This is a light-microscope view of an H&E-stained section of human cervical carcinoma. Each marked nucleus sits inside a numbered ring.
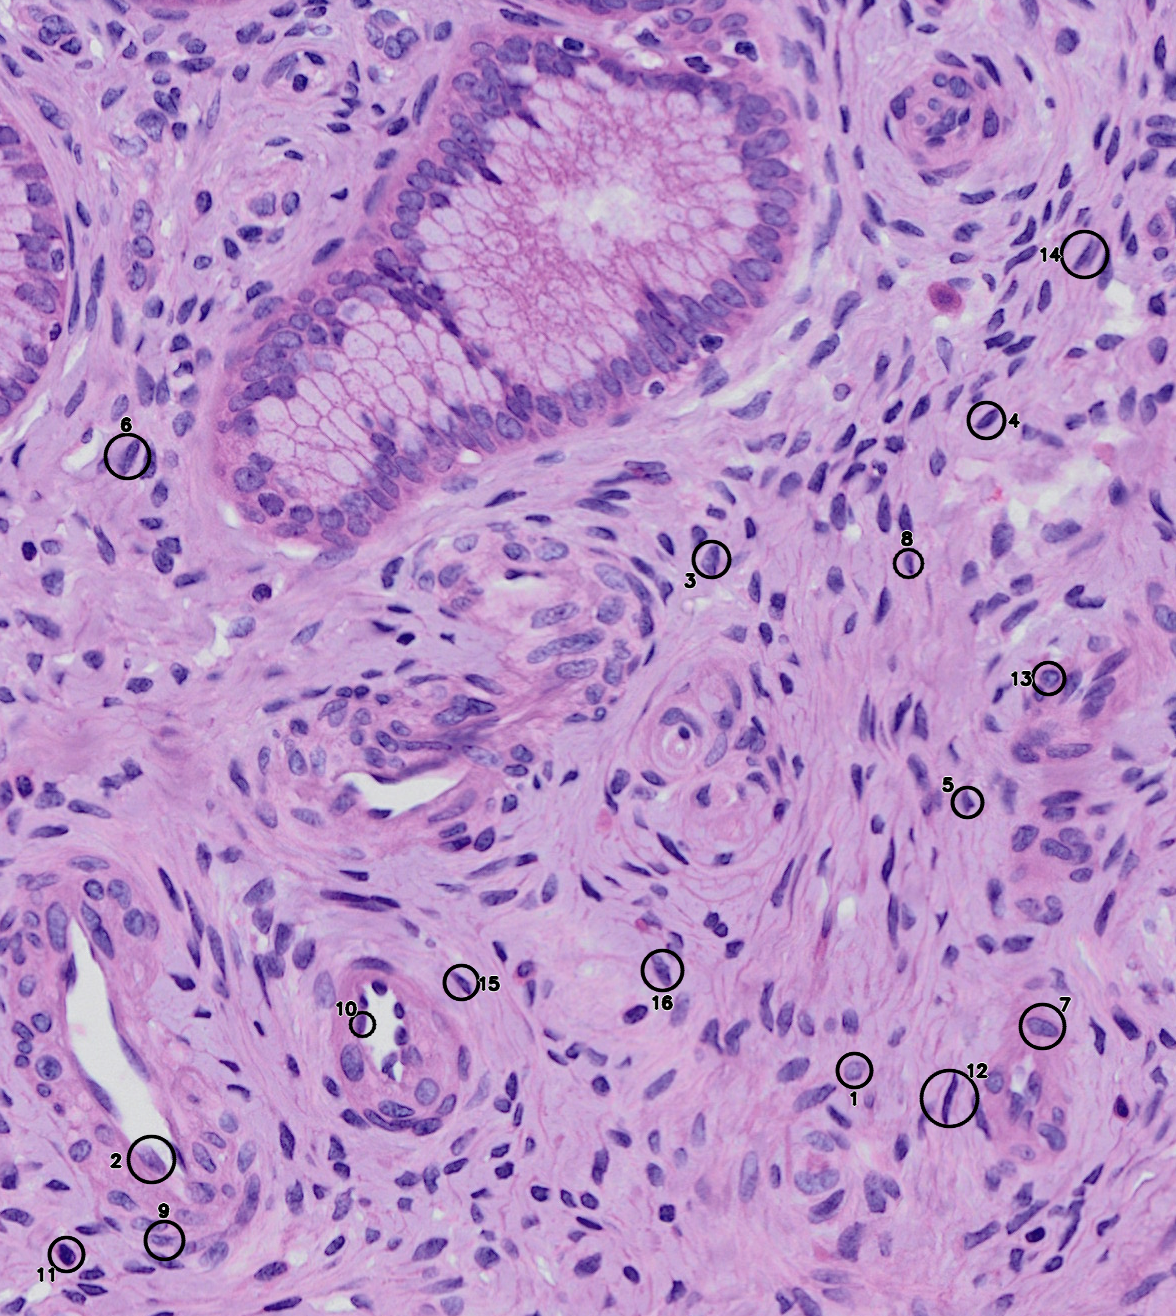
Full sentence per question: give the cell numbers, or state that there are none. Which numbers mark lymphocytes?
In this set of numbered cells, only cell 11 is a lymphocyte.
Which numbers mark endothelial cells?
In this section, the cells labelled 2 and 10 are endothelial cells.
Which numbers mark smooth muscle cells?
On this slide, the cells numbered 1, 7, 9 and 13 are smooth muscle cells.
